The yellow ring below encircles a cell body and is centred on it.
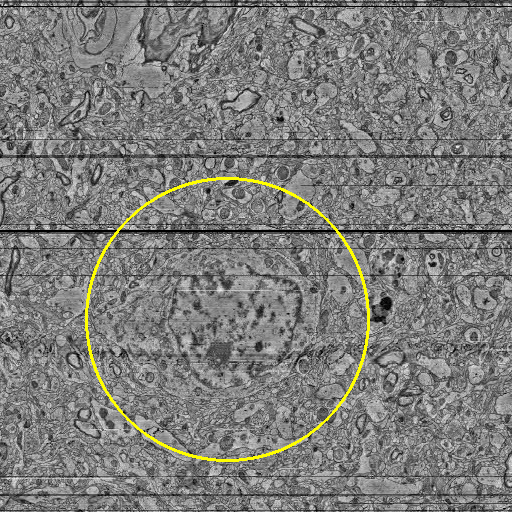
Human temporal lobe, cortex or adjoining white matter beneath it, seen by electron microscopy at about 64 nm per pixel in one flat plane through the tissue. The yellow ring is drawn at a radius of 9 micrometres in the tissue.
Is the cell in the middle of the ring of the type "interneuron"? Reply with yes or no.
yes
